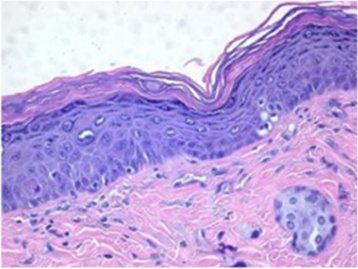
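Skin with a markedly thickened epidermis stained purple, made of many stacked layers of keratinocytes whose round to oval nuclei are densely packed at the base and become larger and paler toward the surface, where a few cells appear clear or vacuolated. Over the epidermis lies a thick, wavy, layered pink keratin layer. The junction with the dermis is fairly even. The dermis below is pink, made of loose collagen fibres with scattered small, dark, elongated nuclei. In the lower right of the dermis lies a rounded cluster of pale cells with small nuclei, an adnexal structure cut across.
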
